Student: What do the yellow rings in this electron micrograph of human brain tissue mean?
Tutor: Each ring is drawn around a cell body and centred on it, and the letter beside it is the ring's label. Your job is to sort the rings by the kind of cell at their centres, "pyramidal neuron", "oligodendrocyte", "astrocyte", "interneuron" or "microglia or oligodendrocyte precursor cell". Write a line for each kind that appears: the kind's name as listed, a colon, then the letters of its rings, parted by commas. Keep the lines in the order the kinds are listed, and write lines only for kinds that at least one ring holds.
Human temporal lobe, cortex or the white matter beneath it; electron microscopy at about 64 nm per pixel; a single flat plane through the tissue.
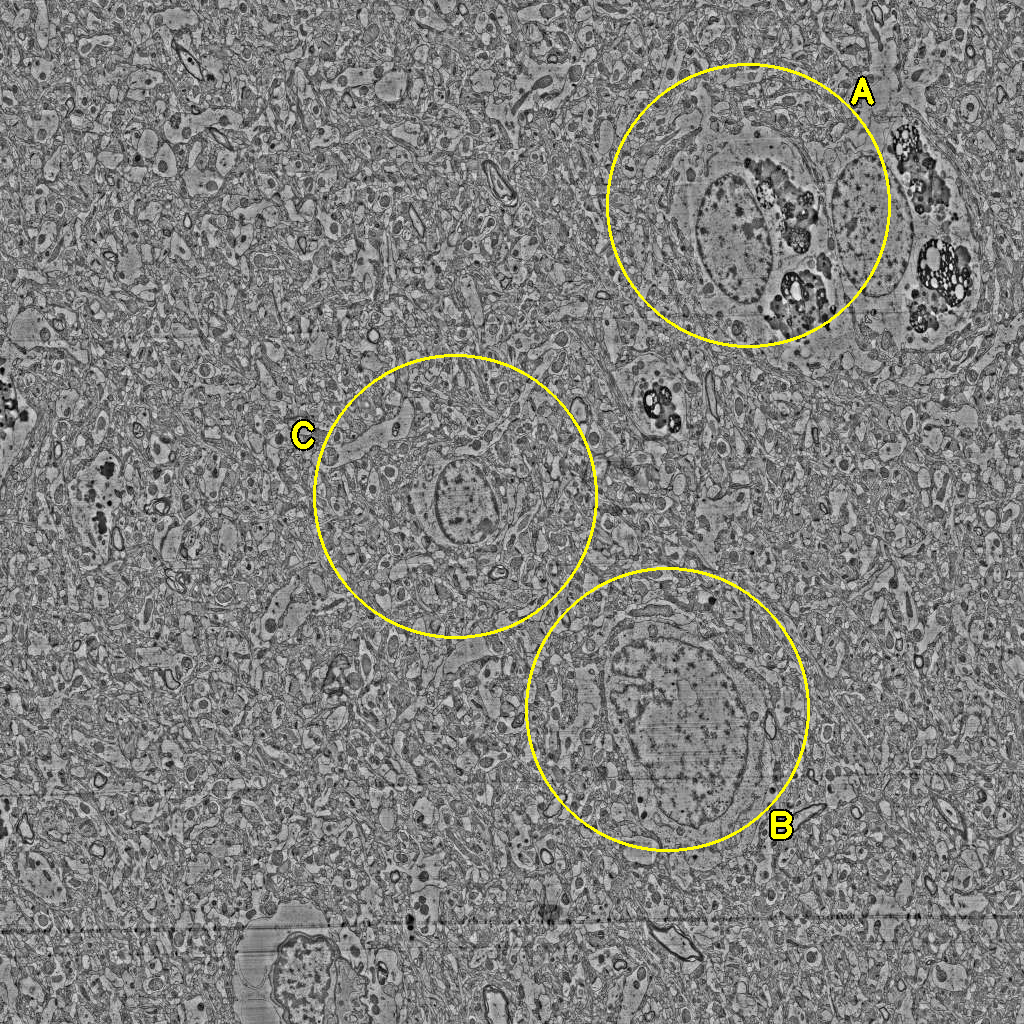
astrocyte: A
interneuron: B
microglia or oligodendrocyte precursor cell: C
